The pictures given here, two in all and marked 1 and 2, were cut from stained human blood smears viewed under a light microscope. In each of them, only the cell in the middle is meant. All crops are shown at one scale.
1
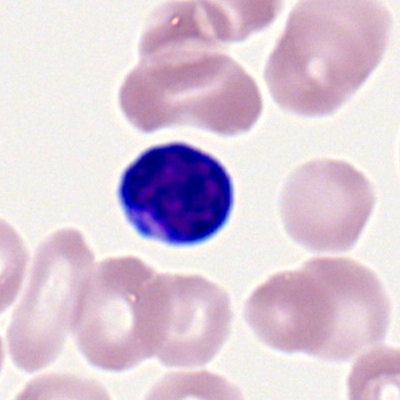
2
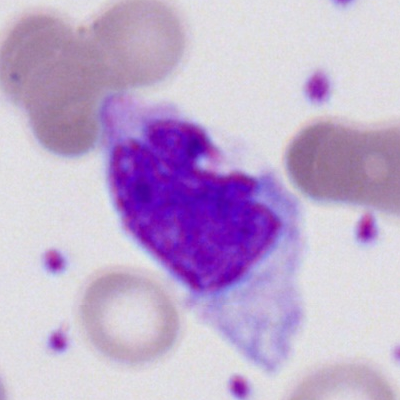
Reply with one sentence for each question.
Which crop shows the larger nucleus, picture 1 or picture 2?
The nucleus in picture 2 is larger, with about 2 times the area of the one in picture 1.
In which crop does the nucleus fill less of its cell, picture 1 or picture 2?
It is the cell in picture 2 that is filled less by its nucleus.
